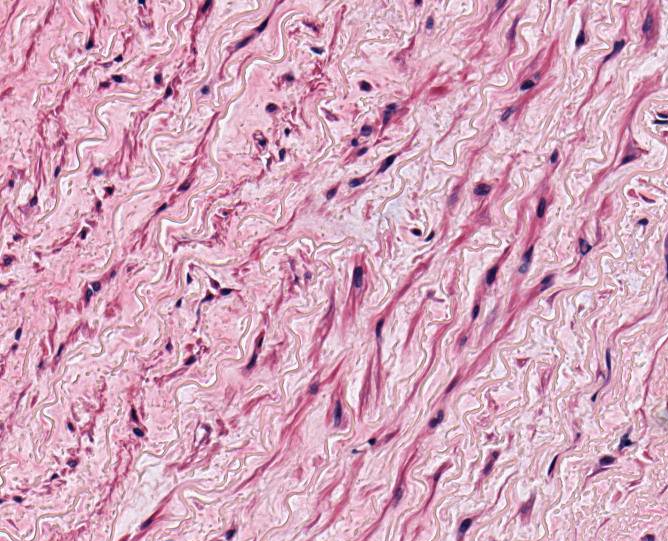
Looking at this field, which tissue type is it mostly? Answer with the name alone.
tunica media of an artery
